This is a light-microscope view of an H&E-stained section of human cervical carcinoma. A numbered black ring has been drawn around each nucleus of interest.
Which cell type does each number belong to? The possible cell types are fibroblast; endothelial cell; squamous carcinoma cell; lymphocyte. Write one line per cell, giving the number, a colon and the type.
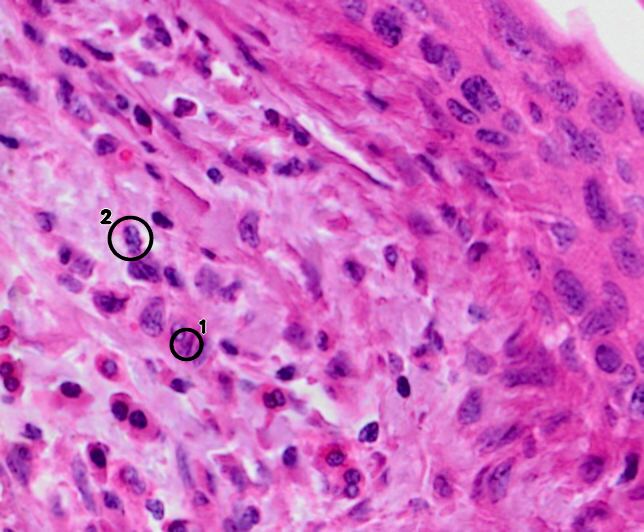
1: endothelial cell
2: lymphocyte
